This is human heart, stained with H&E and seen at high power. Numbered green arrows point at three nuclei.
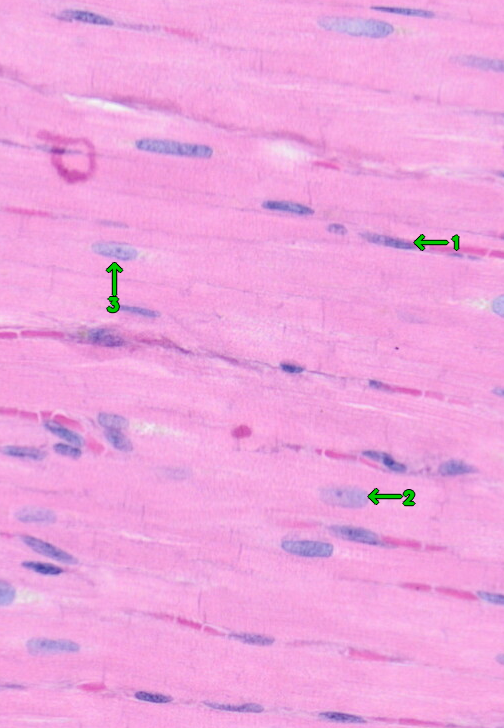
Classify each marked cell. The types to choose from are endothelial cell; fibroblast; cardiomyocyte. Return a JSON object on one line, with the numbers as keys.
{"1": "endothelial cell", "2": "cardiomyocyte", "3": "cardiomyocyte"}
